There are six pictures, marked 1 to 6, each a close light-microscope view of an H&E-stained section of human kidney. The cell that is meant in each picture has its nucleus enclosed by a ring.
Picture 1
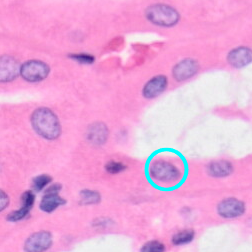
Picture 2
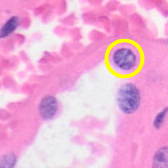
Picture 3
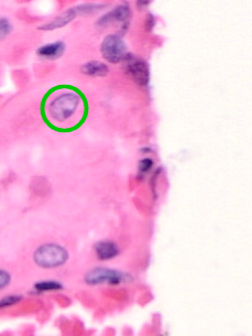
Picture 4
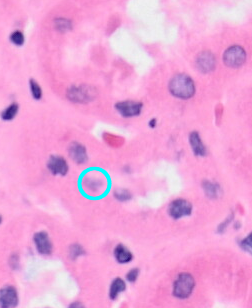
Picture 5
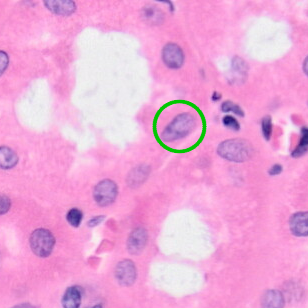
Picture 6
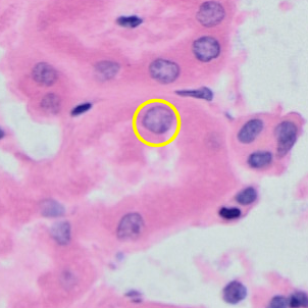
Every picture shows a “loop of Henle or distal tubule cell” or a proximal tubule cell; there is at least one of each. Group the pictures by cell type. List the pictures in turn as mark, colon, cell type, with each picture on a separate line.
1: loop of Henle or distal tubule cell
2: loop of Henle or distal tubule cell
3: proximal tubule cell
4: loop of Henle or distal tubule cell
5: proximal tubule cell
6: proximal tubule cell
